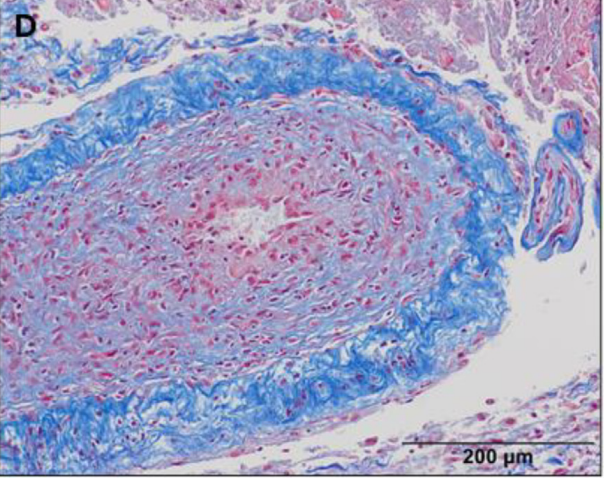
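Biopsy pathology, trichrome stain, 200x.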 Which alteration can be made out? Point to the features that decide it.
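A vessel with a very thick wall and only a tiny central lumen. On this evidence: fibrous intimal vascular thickening.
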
